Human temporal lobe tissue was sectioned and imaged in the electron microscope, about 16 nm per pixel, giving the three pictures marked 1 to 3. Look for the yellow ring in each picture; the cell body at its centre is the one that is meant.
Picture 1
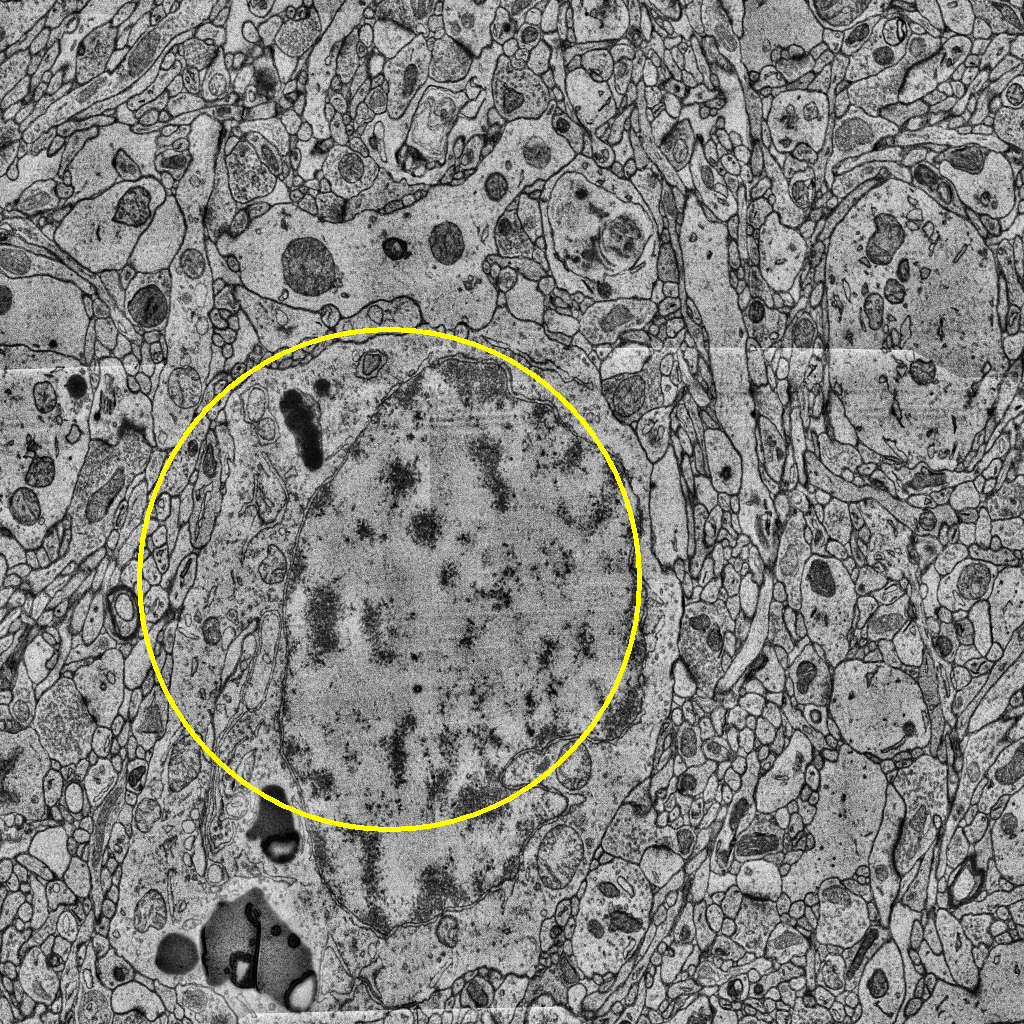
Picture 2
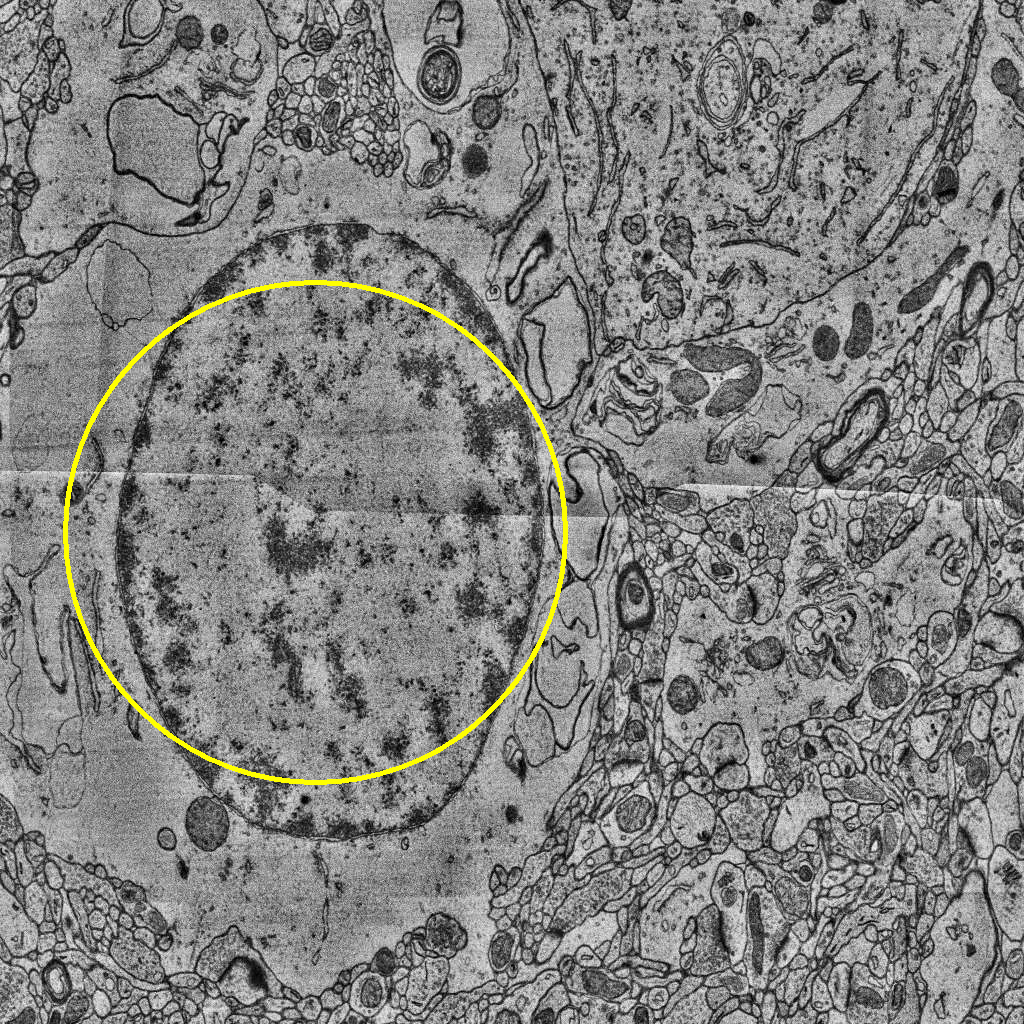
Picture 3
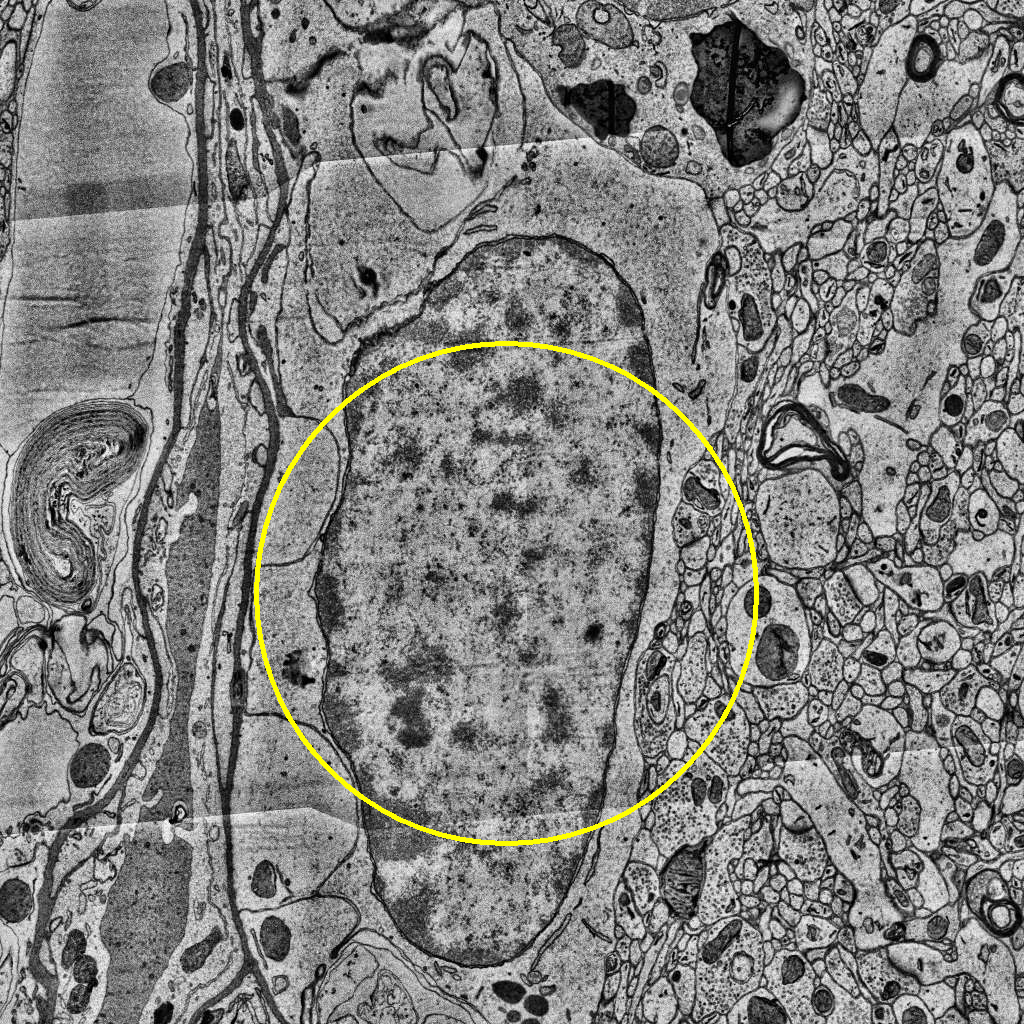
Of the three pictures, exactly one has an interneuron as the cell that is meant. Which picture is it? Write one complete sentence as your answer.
It is picture 1 that shows the interneuron.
